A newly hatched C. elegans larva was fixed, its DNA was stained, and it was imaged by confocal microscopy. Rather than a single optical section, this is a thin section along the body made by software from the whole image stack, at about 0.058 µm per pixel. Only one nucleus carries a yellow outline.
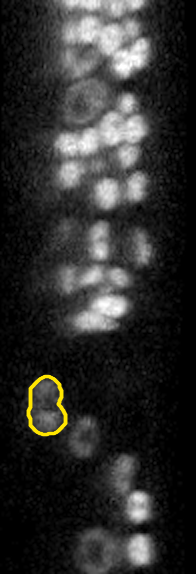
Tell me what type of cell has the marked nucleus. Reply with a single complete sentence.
It belongs to a hypodermal cell (hyp).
